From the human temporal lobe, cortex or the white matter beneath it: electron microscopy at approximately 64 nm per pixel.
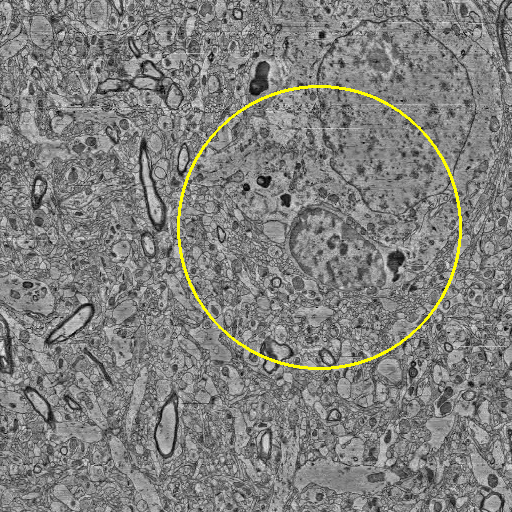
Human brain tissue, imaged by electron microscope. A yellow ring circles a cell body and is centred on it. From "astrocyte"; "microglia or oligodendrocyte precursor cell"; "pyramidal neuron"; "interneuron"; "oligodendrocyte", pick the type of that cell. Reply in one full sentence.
The cell body at the centre of the yellow ring belongs to an oligodendrocyte.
